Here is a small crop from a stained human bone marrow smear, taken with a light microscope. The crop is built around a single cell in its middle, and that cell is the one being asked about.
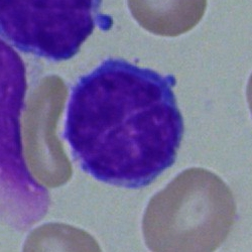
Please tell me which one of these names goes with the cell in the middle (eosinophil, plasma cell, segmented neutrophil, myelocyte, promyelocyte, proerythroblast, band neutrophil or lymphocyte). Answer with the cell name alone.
lymphocyte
